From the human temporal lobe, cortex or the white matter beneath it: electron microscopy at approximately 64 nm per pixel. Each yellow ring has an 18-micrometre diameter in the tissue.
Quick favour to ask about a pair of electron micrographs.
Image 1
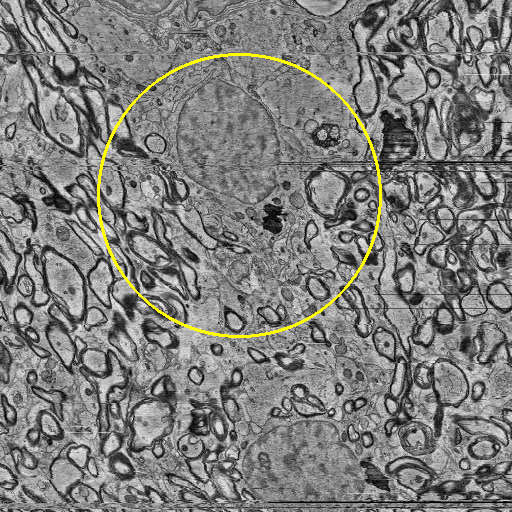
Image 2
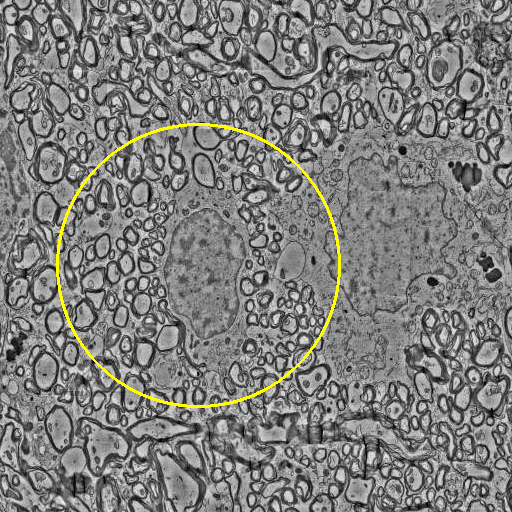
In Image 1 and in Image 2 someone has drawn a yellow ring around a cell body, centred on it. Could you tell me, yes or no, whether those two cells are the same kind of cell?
yes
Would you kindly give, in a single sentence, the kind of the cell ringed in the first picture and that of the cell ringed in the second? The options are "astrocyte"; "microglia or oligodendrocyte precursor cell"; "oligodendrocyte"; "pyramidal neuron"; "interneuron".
Each of the two pictures has an oligodendrocyte at the ring centre.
